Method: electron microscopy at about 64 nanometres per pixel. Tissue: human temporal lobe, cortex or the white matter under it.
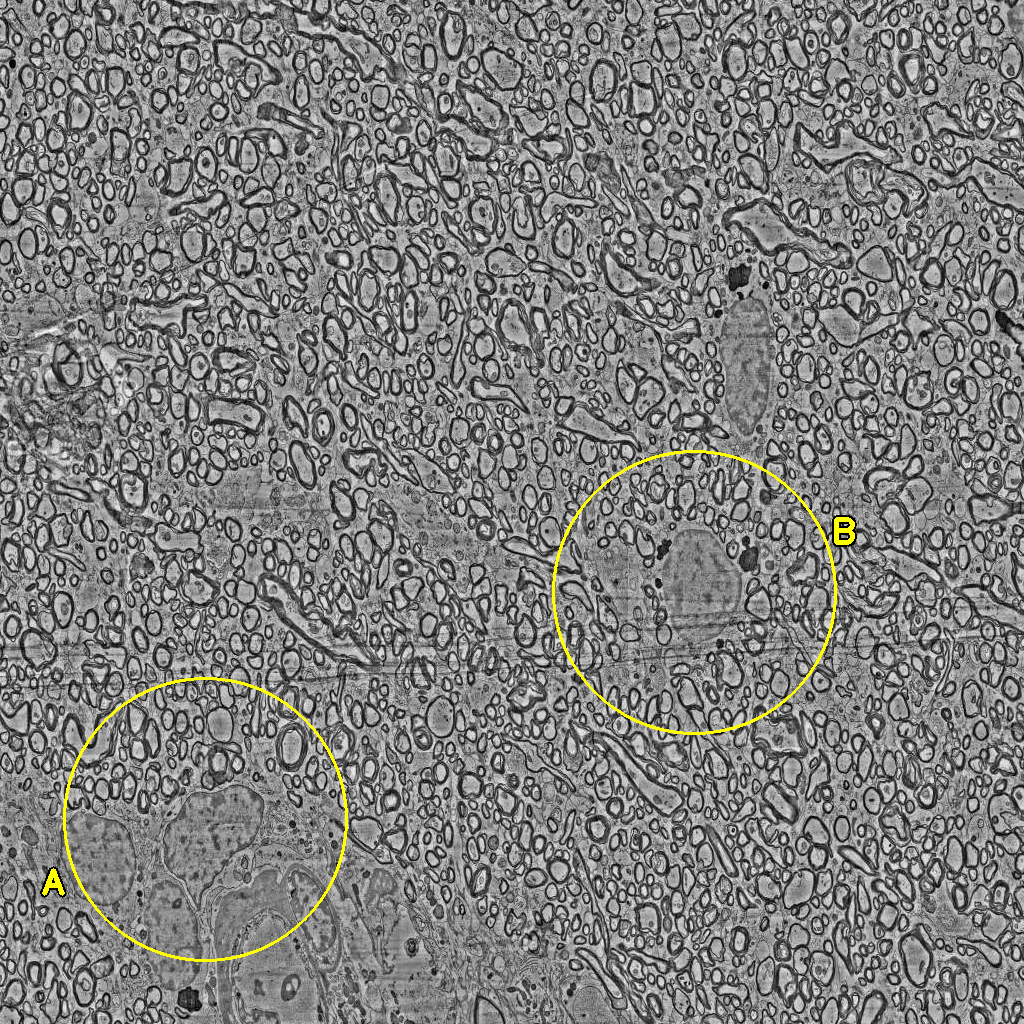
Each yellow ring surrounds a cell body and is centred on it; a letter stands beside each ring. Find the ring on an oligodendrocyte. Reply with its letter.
B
